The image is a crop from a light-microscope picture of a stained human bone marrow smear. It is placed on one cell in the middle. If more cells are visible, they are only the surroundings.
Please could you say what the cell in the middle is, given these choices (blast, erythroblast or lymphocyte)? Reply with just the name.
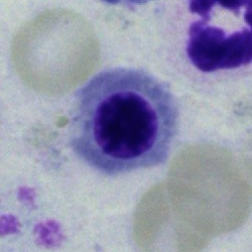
erythroblast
